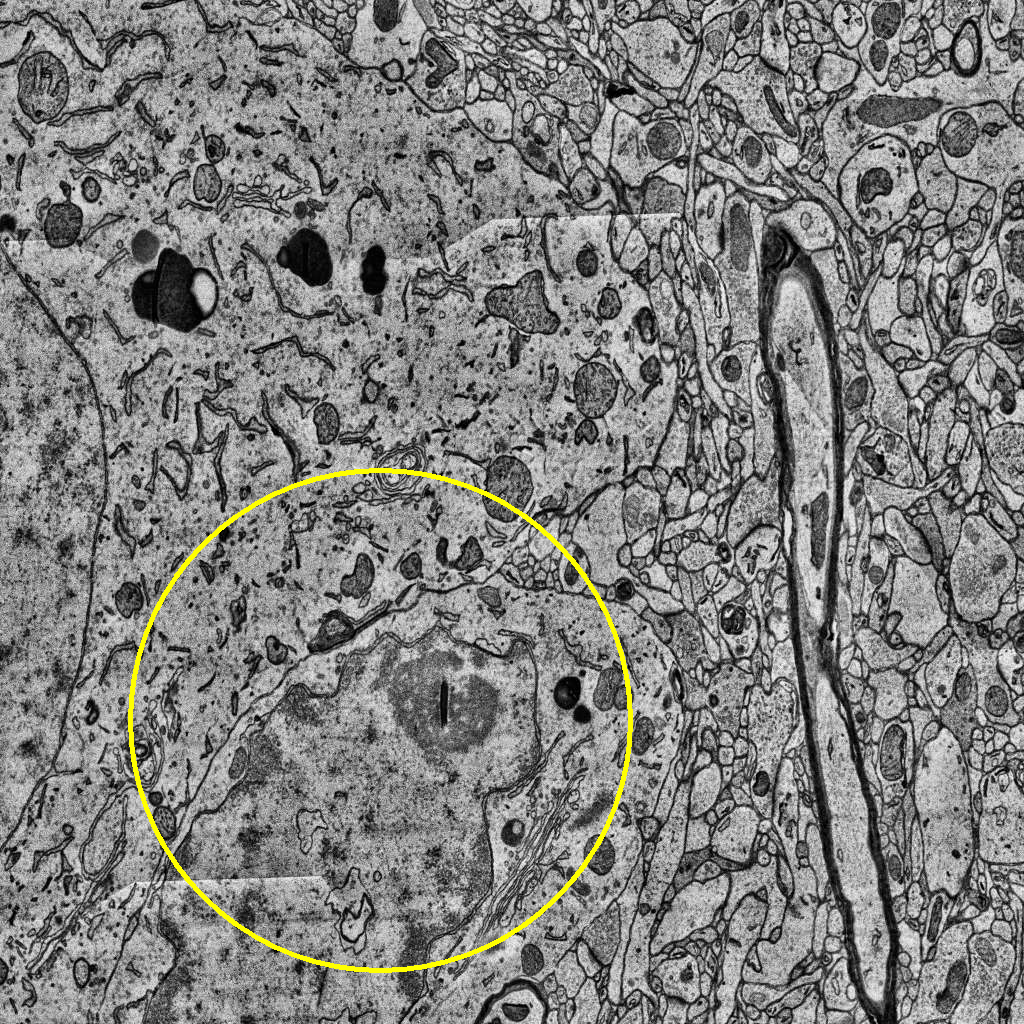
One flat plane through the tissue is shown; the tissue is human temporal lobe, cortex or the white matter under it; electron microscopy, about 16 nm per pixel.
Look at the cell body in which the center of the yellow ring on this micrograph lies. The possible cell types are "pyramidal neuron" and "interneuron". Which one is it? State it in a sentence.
The cell at the middle of the ring is an interneuron.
